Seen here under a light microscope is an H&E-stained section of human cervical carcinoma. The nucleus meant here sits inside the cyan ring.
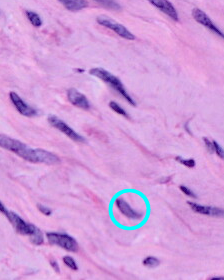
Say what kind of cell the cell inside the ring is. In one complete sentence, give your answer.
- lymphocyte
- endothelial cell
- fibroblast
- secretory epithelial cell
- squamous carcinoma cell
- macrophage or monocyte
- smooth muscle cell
By its classification, the cell inside the ring is a fibroblast.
